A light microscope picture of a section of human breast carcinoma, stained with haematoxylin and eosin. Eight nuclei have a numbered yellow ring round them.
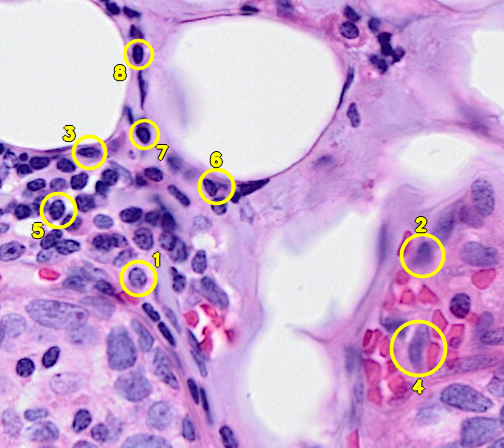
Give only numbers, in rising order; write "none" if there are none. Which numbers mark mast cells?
1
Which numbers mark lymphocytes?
3, 5, 6, 7, 8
